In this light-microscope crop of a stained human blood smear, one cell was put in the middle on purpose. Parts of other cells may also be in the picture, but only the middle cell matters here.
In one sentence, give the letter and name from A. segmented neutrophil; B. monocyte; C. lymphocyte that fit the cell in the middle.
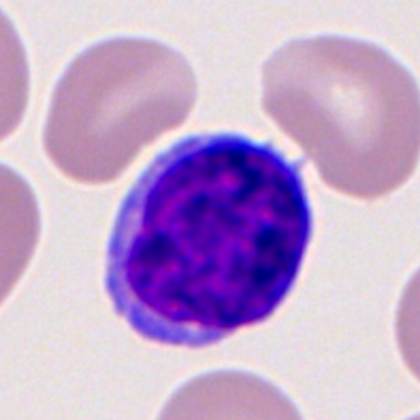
The expected answer is option C, the central cell being a lymphocyte.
